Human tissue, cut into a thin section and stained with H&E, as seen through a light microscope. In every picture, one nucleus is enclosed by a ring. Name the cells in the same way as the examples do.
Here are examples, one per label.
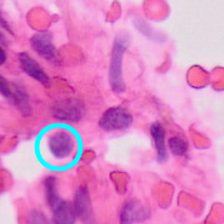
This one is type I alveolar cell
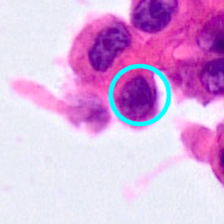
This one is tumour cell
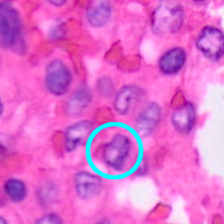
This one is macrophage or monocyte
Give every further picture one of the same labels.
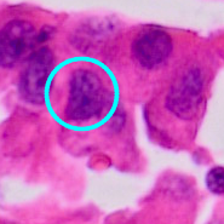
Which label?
tumour cell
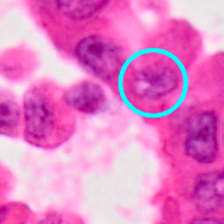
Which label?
tumour cell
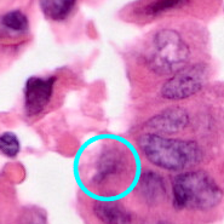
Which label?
tumour cell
